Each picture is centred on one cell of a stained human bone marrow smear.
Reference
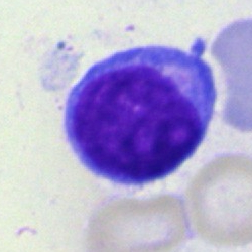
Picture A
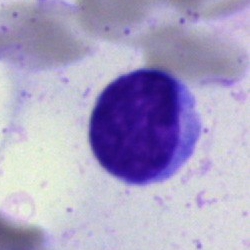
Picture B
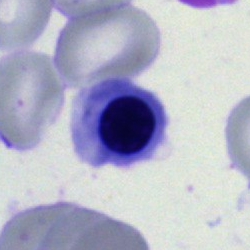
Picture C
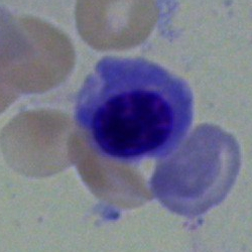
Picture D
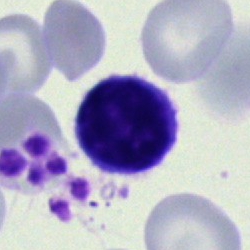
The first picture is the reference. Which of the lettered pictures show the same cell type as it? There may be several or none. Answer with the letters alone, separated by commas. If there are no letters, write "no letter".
A, D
